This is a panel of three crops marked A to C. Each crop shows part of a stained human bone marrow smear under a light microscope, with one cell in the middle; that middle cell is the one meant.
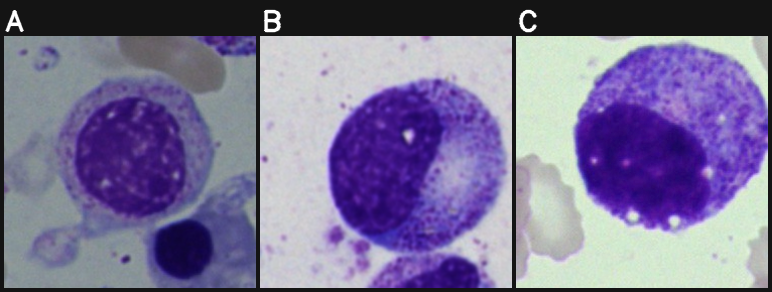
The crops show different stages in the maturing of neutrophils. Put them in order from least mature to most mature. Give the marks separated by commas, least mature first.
C, A, B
